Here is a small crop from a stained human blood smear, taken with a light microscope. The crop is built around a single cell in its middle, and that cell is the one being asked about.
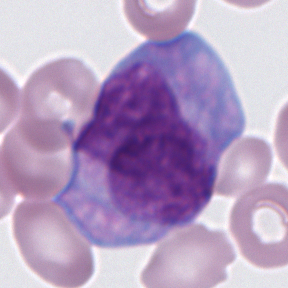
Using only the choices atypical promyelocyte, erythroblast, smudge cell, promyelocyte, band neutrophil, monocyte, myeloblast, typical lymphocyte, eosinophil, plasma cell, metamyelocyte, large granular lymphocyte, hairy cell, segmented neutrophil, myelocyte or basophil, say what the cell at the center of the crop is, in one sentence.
Regarding the central cell, it is an atypical promyelocyte.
